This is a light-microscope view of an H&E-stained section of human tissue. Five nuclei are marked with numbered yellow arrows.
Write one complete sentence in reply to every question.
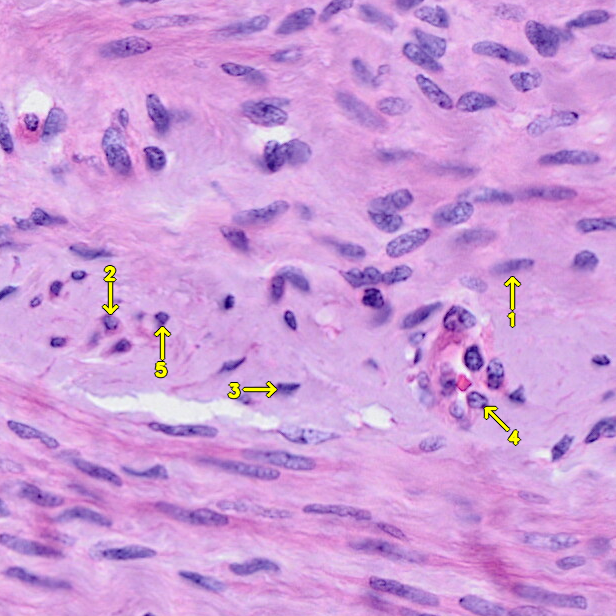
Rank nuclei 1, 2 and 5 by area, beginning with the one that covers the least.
Smallest first, the nuclei run 5, 2, 1.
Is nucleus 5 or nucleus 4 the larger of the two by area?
At about 2.5 times the area of nucleus 5, nucleus 4 is the larger of the two.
